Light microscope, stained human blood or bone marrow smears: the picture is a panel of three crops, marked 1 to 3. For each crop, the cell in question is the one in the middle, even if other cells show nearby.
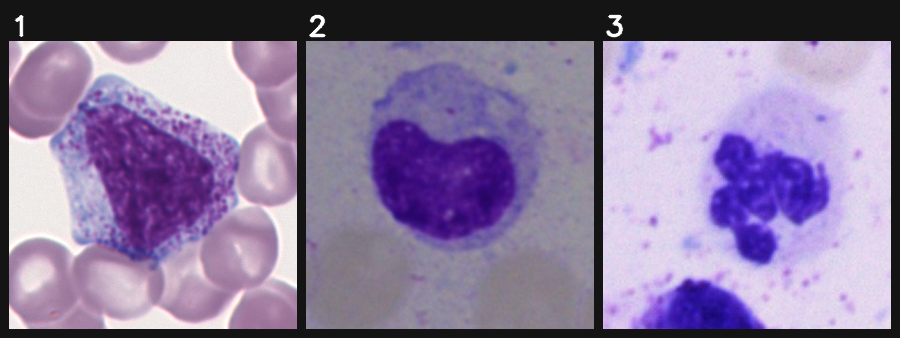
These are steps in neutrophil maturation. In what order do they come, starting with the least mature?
1, 2, 3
